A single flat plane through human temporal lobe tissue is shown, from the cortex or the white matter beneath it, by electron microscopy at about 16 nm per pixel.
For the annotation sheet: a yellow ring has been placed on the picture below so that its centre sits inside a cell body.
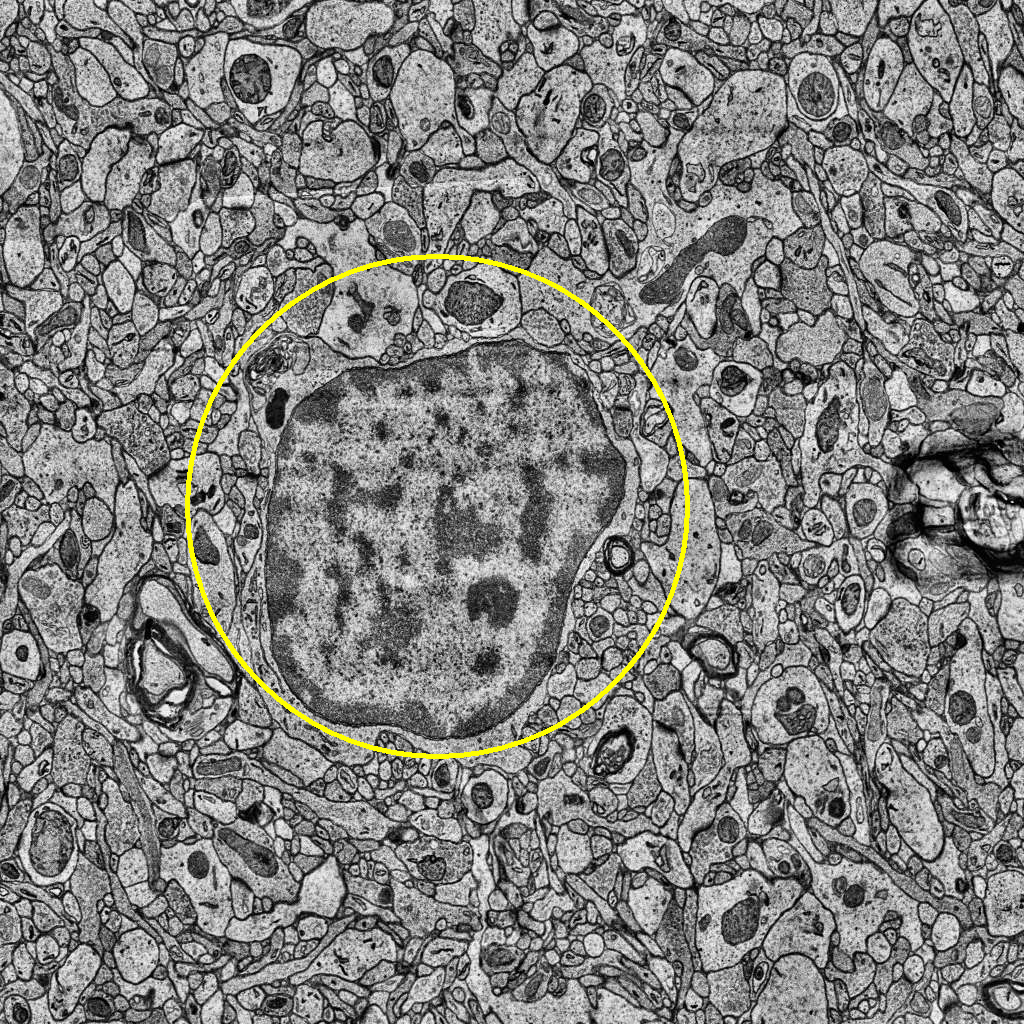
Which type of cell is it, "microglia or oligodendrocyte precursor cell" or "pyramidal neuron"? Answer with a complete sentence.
The cell at the ring's centre is a microglial cell or oligodendrocyte precursor cell.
